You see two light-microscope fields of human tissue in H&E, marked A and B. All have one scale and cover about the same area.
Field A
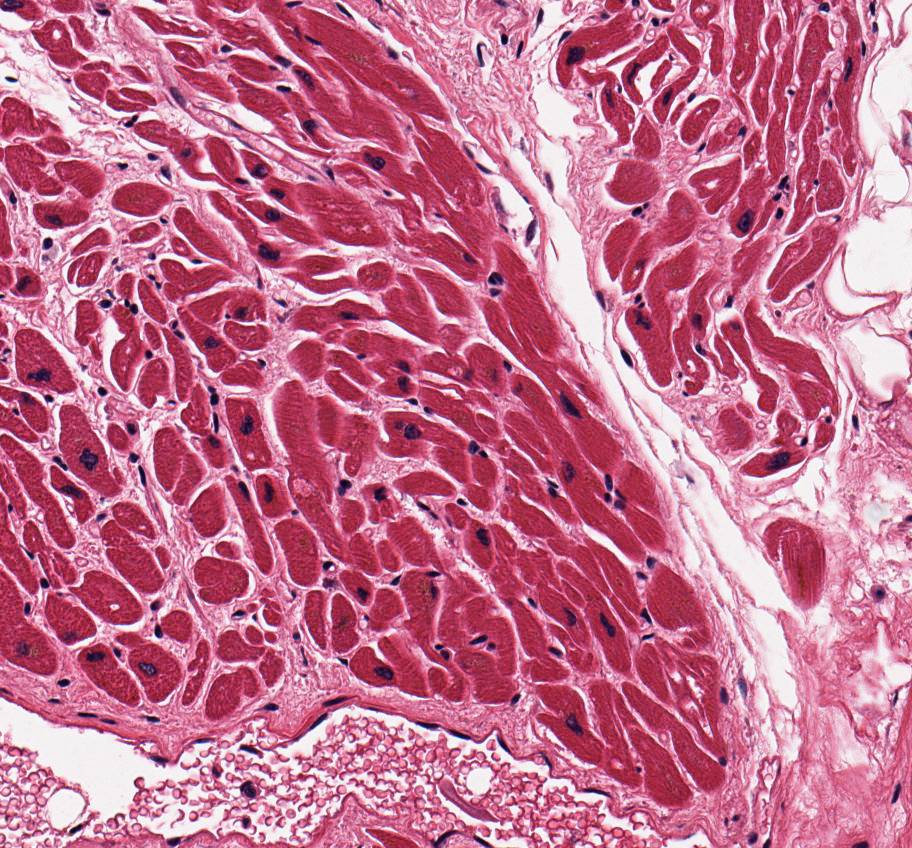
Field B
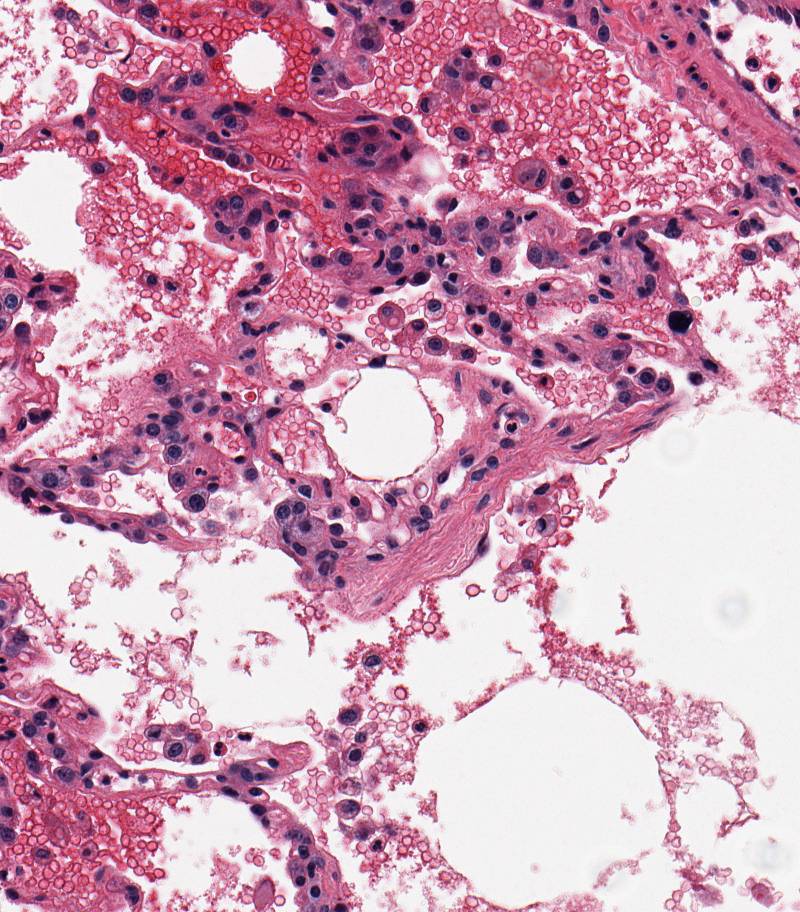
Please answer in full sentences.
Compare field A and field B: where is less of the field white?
Unstained space takes up less of field A than of field B.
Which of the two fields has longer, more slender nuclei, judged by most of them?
Longer, more slender nuclei lie in field A.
